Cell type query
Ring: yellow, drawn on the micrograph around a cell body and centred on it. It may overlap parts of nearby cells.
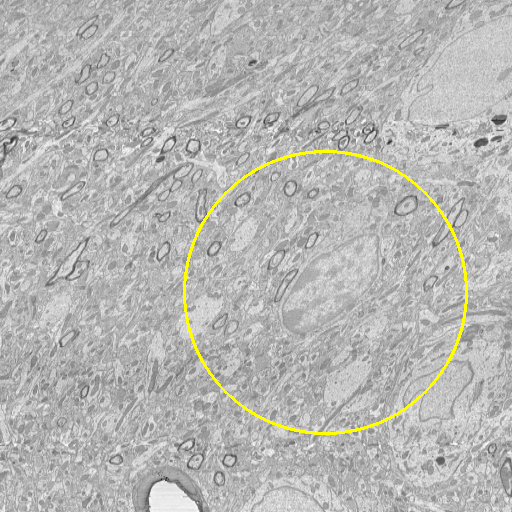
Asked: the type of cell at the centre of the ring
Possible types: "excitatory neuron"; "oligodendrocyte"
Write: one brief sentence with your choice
The ring marks an oligodendrocyte.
